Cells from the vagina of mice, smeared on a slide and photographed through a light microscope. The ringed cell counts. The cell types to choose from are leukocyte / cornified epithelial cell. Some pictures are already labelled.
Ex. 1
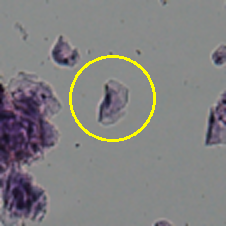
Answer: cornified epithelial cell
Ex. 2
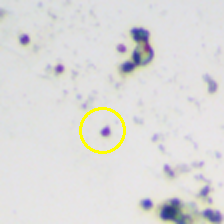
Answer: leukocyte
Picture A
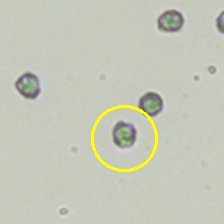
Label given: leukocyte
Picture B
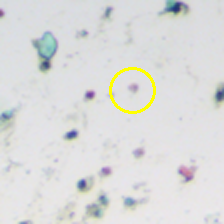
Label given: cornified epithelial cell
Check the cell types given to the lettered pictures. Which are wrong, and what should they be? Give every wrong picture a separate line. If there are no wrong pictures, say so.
B: not cornified epithelial cell but leukocyte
